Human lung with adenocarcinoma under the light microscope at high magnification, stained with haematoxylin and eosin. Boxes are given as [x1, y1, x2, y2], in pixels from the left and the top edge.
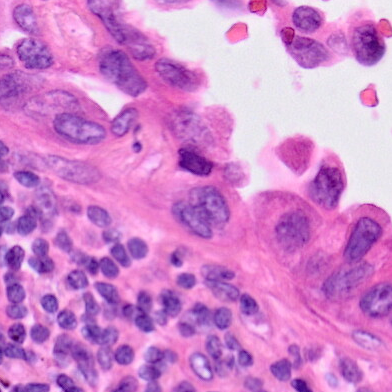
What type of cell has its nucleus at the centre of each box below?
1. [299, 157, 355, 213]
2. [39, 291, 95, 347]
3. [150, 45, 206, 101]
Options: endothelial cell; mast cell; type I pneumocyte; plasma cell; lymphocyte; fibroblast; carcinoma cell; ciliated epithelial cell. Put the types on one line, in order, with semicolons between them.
carcinoma cell; lymphocyte; carcinoma cell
